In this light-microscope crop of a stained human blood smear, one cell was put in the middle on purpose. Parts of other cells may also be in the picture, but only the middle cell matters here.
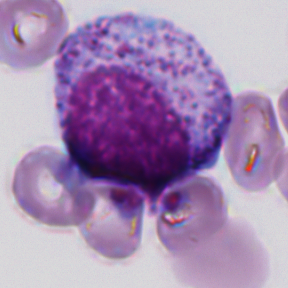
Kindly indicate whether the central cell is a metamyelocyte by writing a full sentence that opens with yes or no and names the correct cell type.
No, what sits in the centre of the crop is a myelocyte rather than a metamyelocyte.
